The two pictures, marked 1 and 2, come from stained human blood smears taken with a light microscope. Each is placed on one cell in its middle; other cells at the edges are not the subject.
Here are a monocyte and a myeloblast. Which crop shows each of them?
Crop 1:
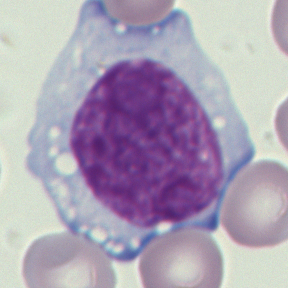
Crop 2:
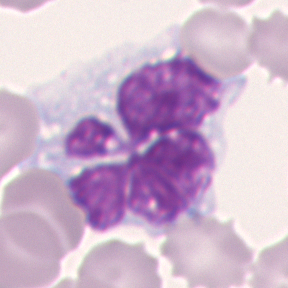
1: myeloblast
2: monocyte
